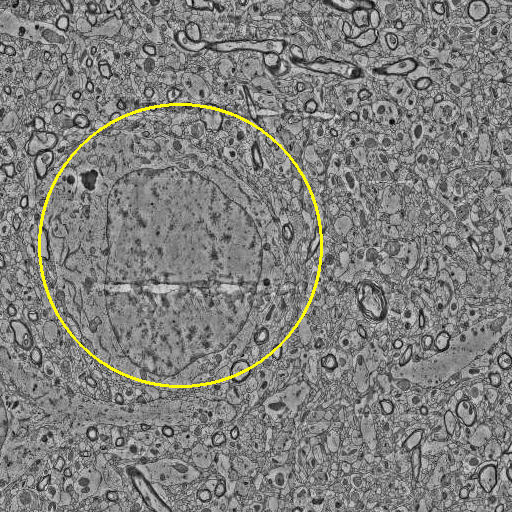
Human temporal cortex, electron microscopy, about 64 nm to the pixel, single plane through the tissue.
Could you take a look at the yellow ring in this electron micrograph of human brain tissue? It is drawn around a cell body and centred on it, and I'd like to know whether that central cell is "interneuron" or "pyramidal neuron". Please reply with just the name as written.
pyramidal neuron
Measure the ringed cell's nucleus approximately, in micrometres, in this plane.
About 13 by 10 micrometres in this plane.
